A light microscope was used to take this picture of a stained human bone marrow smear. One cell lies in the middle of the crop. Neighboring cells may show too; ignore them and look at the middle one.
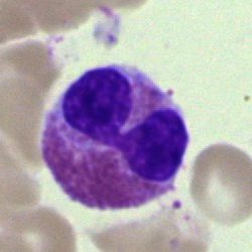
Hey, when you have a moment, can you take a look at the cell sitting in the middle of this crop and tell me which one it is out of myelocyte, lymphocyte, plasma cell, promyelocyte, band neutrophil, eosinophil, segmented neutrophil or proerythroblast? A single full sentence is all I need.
The cell sitting right in the middle is an eosinophil.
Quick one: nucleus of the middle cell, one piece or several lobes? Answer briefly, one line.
The nucleus is segmented, with two or more lobes present.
